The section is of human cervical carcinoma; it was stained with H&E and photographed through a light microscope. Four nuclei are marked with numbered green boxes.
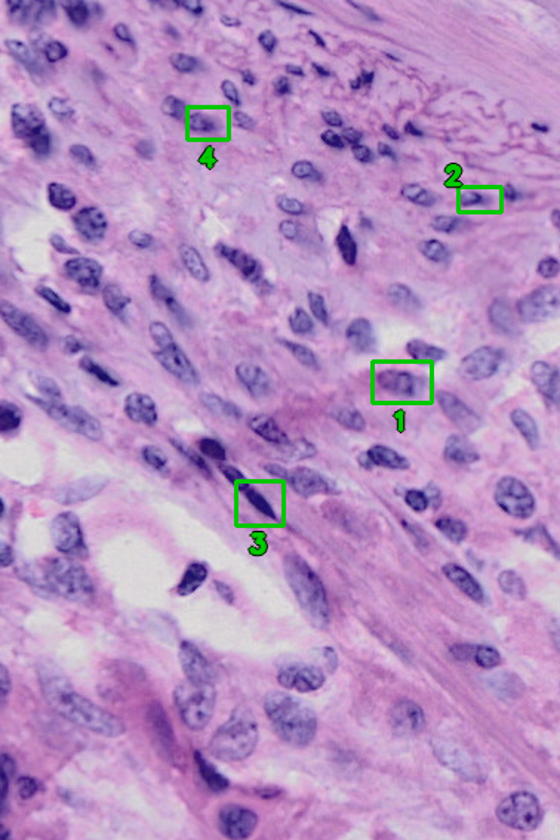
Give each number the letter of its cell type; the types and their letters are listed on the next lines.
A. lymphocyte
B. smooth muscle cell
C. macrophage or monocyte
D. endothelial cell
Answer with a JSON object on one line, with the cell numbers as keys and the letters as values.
{"1": "C", "2": "B", "3": "A", "4": "B"}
